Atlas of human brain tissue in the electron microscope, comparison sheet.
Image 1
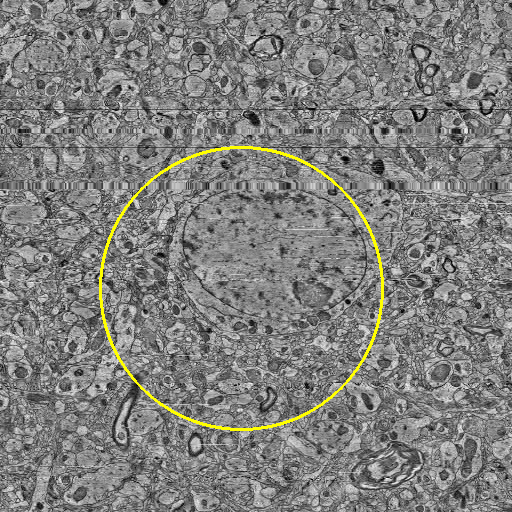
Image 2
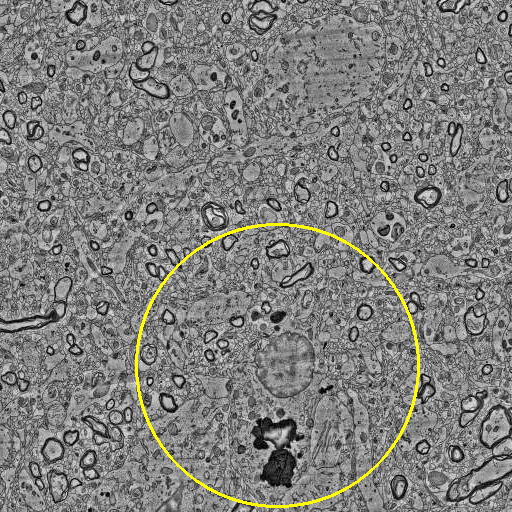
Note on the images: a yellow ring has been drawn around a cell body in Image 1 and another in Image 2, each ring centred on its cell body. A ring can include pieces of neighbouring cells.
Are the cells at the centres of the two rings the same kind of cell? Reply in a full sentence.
No, the two cells are of two kinds.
